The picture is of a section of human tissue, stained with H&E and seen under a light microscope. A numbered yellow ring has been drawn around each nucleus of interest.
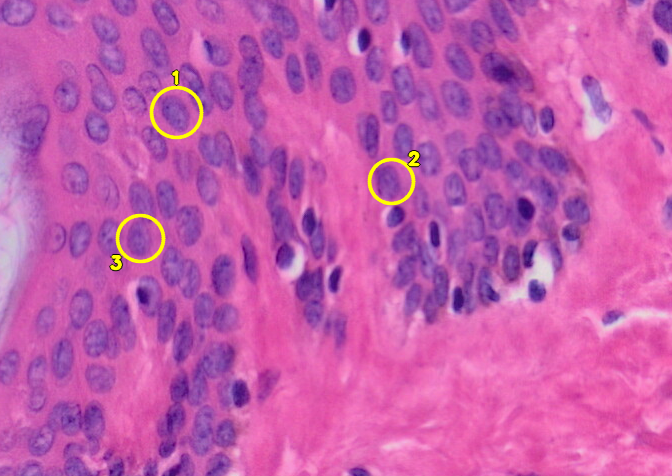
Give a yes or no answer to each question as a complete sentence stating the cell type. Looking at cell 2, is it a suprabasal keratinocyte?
No, cell 2 has been misnamed; it is a basal keratinocyte, not a suprabasal keratinocyte.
